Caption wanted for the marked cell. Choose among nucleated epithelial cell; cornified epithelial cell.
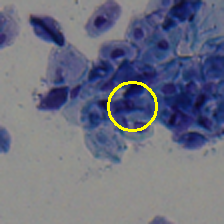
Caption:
Ringed in yellow is a nucleated epithelial cell.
